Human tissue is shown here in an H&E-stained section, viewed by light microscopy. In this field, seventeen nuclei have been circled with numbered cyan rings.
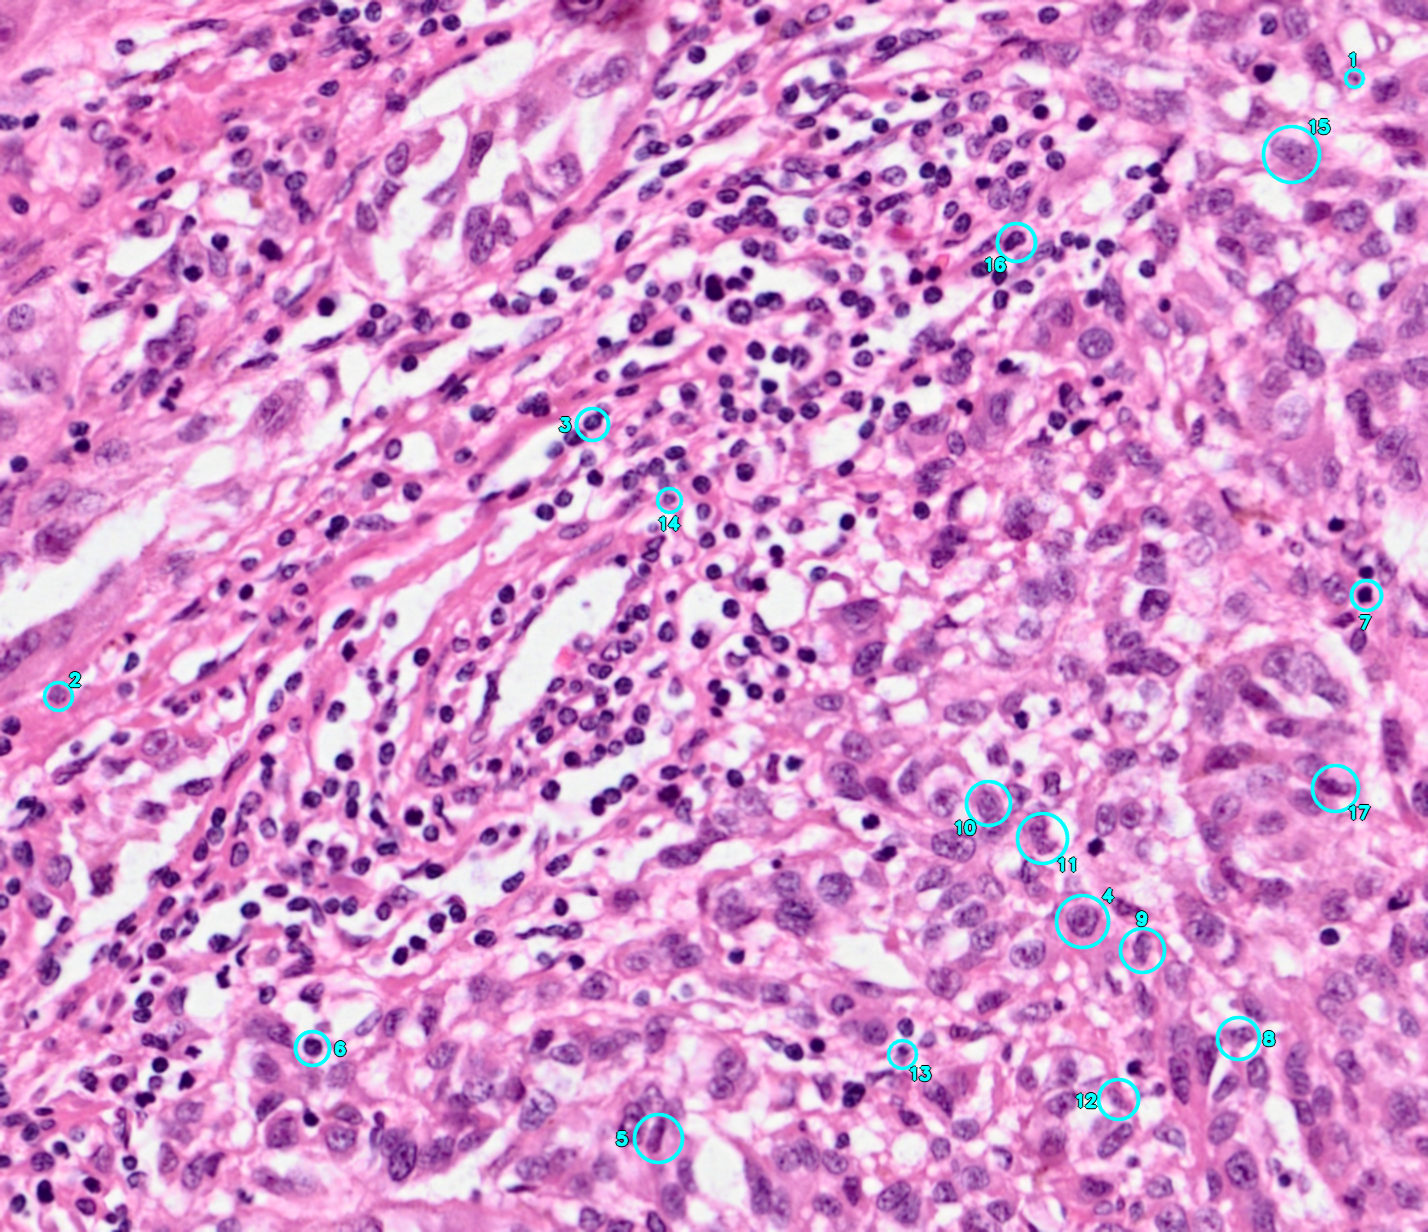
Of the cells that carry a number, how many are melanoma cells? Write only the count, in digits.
9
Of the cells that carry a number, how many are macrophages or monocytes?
2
